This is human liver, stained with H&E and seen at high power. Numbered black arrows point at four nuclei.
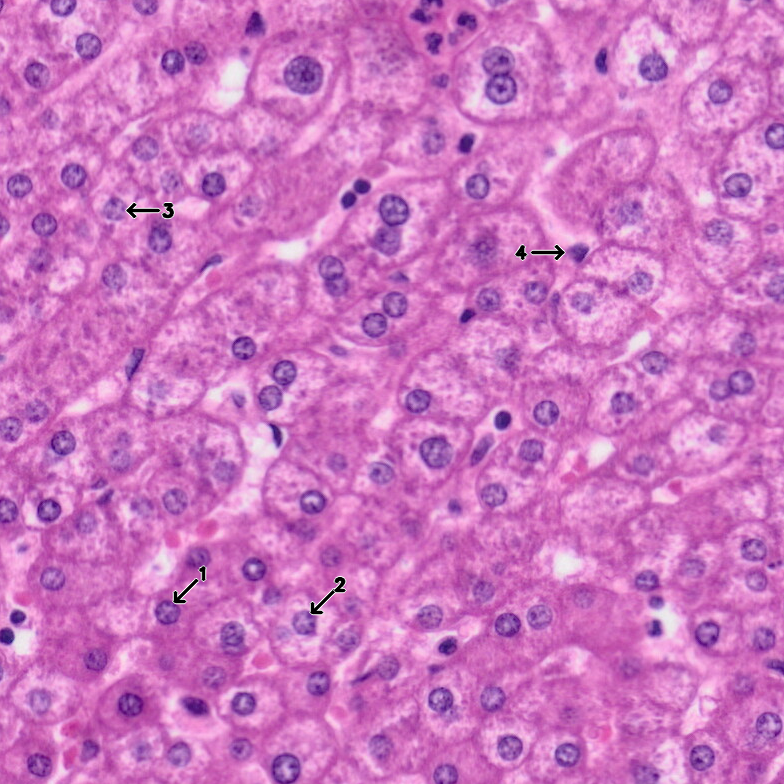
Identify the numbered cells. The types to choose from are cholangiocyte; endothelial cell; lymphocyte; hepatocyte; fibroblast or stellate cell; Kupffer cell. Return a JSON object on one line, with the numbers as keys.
{"1": "hepatocyte", "2": "hepatocyte", "3": "hepatocyte", "4": "endothelial cell"}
